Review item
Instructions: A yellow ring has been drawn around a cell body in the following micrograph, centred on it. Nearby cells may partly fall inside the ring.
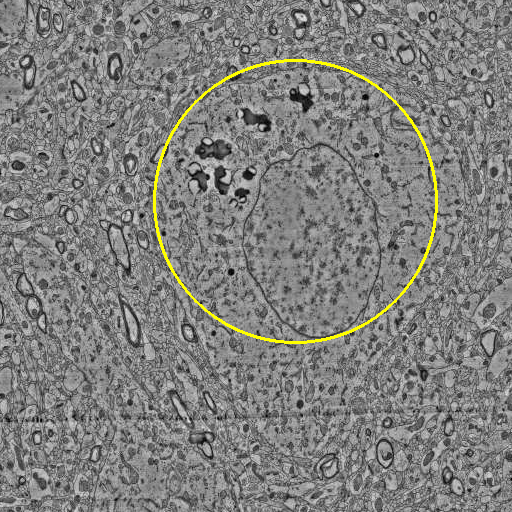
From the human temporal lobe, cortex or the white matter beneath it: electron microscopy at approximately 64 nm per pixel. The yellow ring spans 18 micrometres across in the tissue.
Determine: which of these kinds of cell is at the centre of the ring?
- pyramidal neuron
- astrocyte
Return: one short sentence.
The cell body in the middle of the ring is that of a pyramidal neuron.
